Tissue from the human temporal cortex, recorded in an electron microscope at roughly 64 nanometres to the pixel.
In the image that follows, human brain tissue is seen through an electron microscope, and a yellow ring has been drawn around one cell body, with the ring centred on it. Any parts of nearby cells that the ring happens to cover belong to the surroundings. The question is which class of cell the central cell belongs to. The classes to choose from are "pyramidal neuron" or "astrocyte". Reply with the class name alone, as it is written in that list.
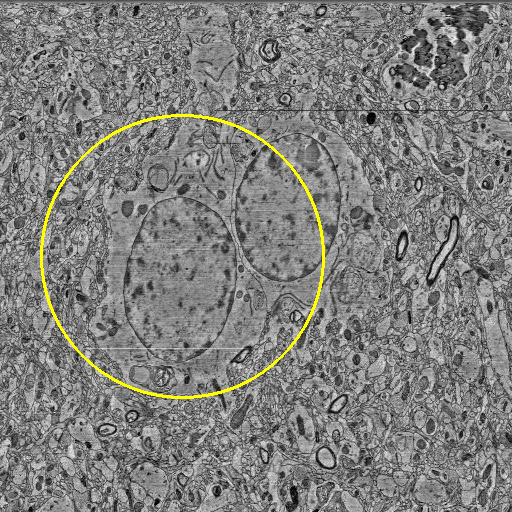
astrocyte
